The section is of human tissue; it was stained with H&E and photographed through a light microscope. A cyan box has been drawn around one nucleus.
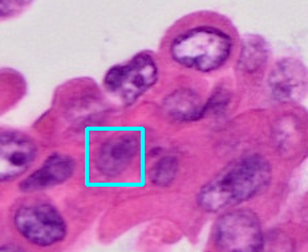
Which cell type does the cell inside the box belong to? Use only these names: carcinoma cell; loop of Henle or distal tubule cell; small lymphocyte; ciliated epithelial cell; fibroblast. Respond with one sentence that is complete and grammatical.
As classified here, the cell inside the box is a carcinoma cell.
